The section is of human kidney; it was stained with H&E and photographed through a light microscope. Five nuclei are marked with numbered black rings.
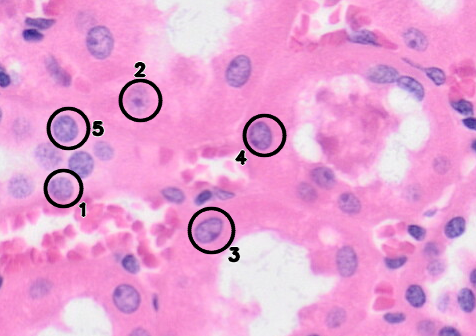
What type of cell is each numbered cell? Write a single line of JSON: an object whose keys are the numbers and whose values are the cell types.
{"1": "collecting duct cell", "2": "proximal tubule cell", "3": "proximal tubule cell", "4": "proximal tubule cell", "5": "collecting duct cell"}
